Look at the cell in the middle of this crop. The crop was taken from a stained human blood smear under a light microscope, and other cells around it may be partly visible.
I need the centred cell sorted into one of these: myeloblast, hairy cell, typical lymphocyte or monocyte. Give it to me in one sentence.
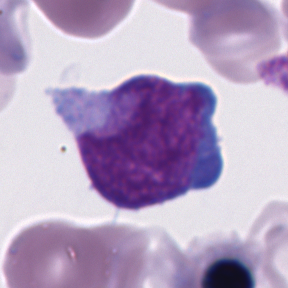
As for the cell in the middle, it is a myeloblast.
